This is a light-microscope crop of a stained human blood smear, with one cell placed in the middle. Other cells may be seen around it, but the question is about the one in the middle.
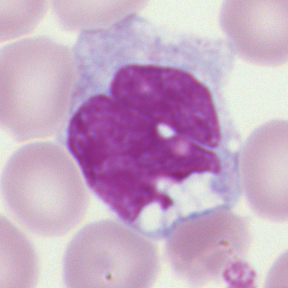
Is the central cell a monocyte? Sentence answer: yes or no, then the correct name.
Yes, the cell right in the middle is a monocyte.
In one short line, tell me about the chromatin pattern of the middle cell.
No coarse chromatin clumps are present; the pattern is fine.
